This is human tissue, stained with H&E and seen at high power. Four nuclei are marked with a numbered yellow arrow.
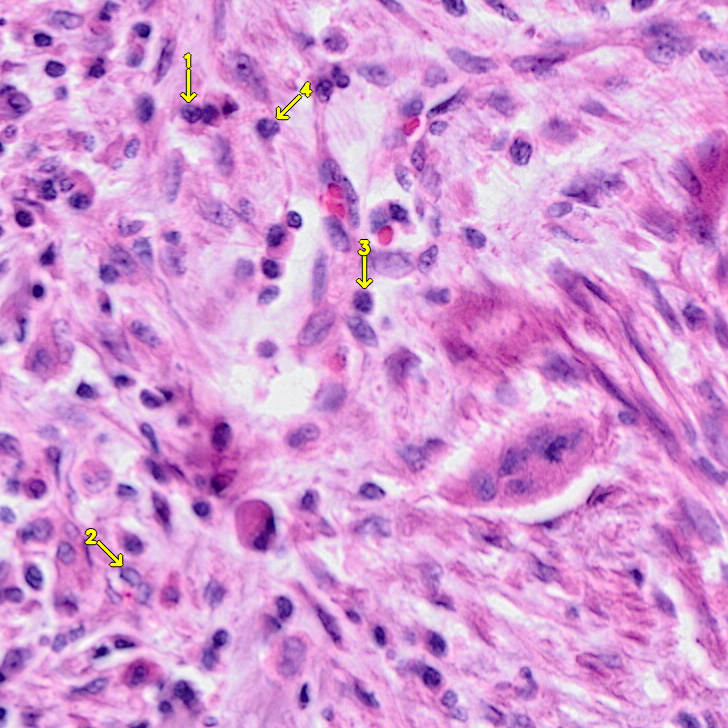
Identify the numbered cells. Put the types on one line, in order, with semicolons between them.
lymphocyte; endothelial cell; lymphocyte; lymphocyte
